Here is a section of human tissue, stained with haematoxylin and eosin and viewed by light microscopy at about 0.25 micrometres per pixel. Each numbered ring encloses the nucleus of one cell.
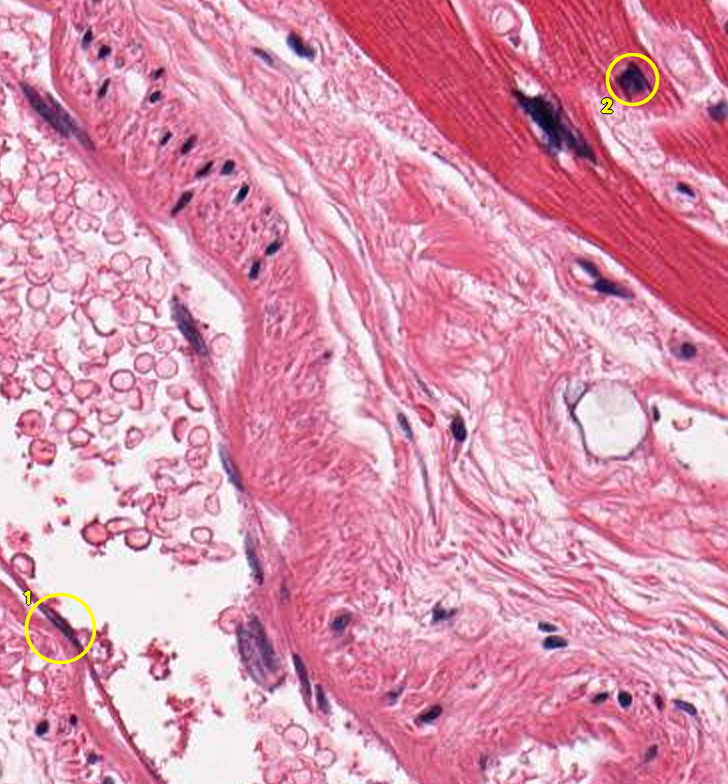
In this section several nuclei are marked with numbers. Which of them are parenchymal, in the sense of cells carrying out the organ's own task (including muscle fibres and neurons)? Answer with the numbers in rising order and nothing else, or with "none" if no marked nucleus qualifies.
2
